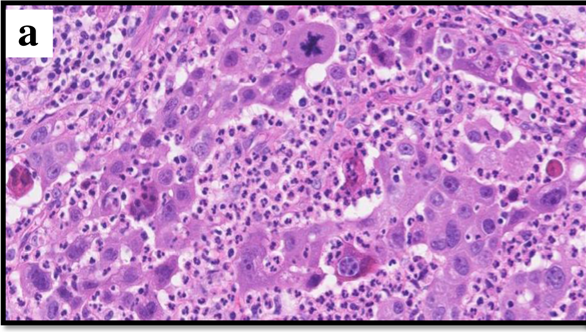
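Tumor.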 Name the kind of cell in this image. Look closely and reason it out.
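Large polygonal cells with abundant pink cytoplasm. Nuclei vary in size and shape. Many nuclei show conspicuous nucleoli. The answer: atypical epithelial cells having pleomorphic nuclei and prominent nucleoli.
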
